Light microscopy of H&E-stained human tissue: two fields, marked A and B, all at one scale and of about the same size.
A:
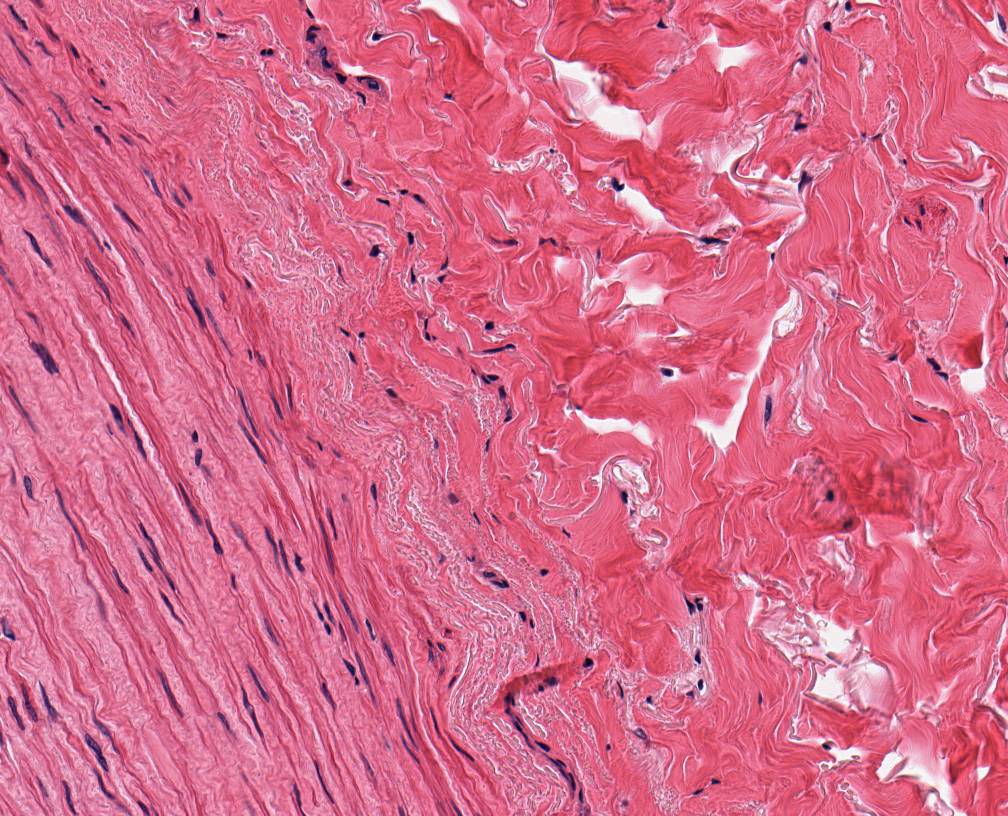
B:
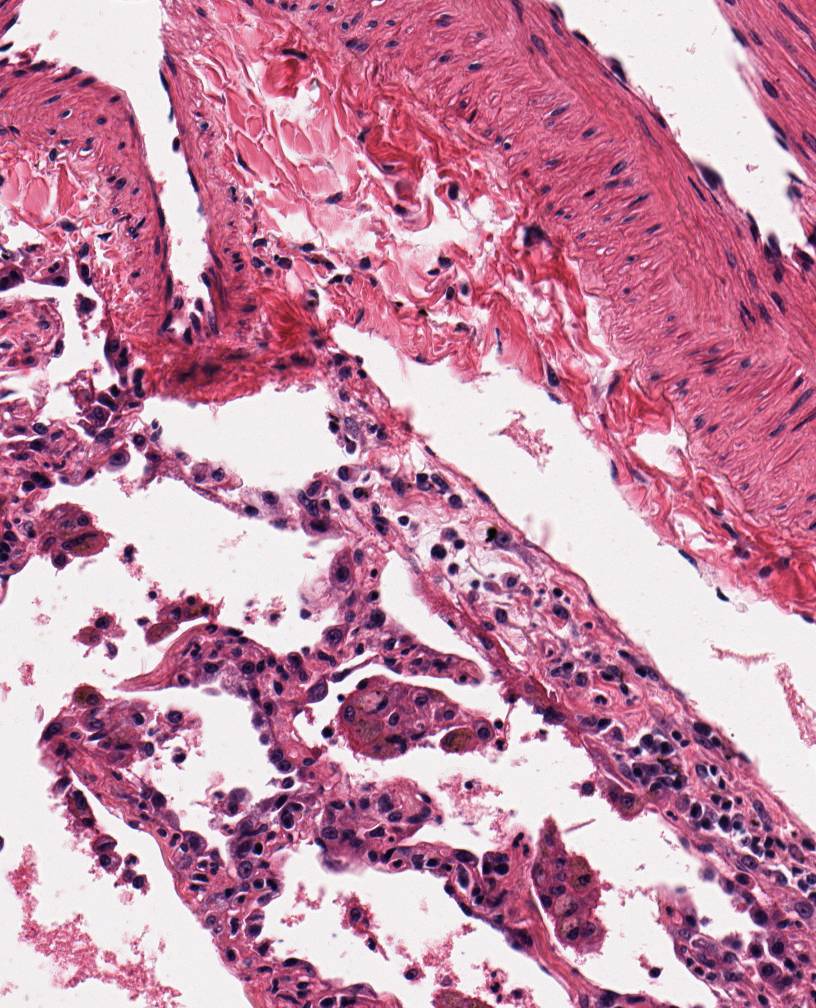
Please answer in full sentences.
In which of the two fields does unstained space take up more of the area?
It is field B in which white space covers the larger part.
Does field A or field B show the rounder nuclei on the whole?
Rounder nuclei lie in field B.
